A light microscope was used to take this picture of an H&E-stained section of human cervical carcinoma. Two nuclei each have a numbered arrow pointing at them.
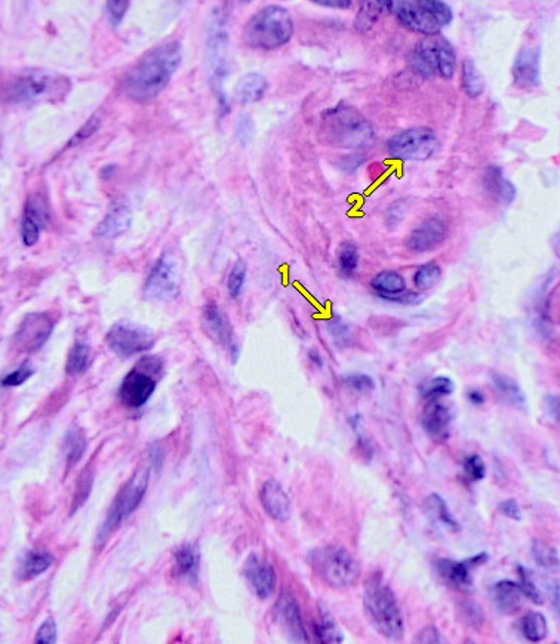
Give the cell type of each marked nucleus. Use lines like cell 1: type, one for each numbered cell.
cell 1: fibroblast
cell 2: endothelial cell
